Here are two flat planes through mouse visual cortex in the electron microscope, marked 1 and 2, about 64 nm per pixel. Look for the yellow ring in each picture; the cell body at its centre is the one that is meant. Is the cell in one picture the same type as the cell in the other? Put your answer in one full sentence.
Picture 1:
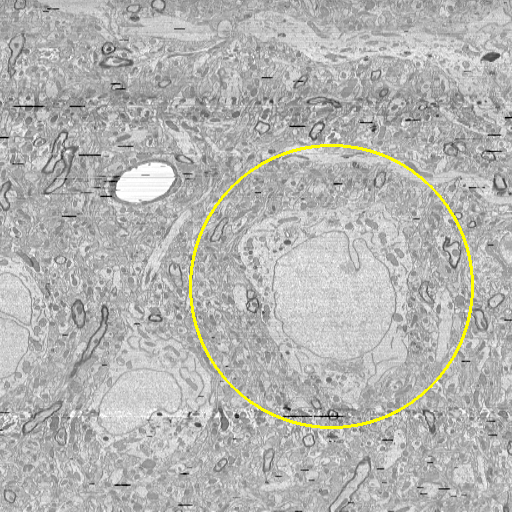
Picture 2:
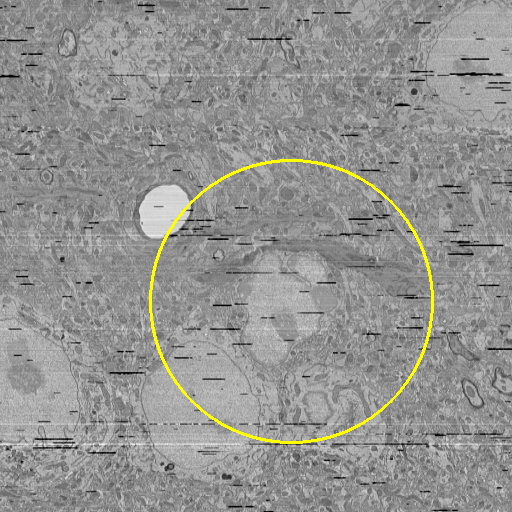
No; the cell in picture 1 is an excitatory neuron, while the one in picture 2 is an astrocyte.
